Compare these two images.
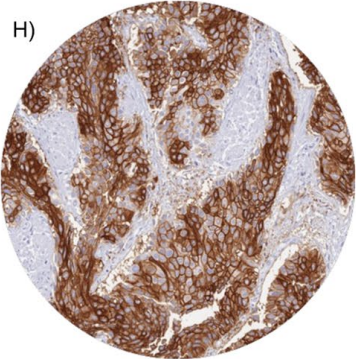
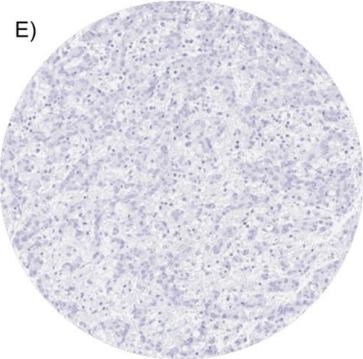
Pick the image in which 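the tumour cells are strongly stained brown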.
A: the first image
